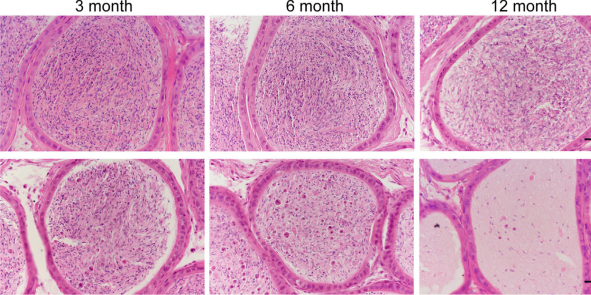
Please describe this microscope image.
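Six views show cross-sections of the epididymal duct, stained pink and purple. In the upper row the lumens are packed with dense, fine, pink, streaming masses of sperm. In the lower row the lumens are less filled. The sperm mass is looser, and scattered round, darker cells lie among it. In the last lower view the lumen is mostly pale and nearly empty, holding only sparse pale material and a few scattered cells.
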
